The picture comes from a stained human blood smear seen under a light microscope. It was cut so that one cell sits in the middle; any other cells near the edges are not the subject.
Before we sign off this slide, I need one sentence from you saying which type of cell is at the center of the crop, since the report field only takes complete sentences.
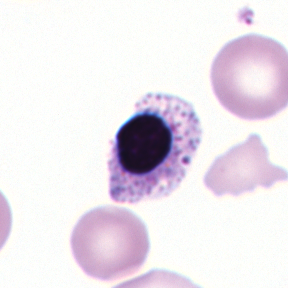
The central cell in this smear crop is a normoblast.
